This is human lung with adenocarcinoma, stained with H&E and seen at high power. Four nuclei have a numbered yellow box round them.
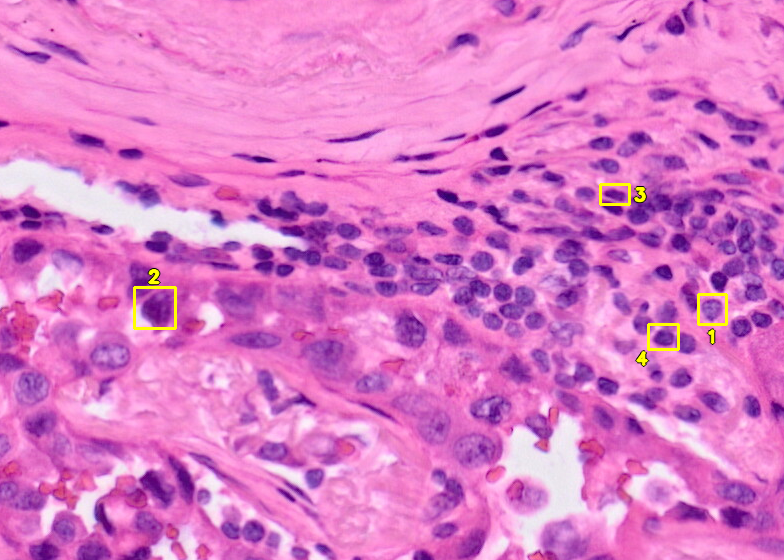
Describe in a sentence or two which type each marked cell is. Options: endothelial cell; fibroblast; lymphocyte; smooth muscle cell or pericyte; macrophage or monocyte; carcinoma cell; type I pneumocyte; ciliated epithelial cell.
Cells 1, 3 and 4 are lymphocytes. Cell 2 is a carcinoma cell.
